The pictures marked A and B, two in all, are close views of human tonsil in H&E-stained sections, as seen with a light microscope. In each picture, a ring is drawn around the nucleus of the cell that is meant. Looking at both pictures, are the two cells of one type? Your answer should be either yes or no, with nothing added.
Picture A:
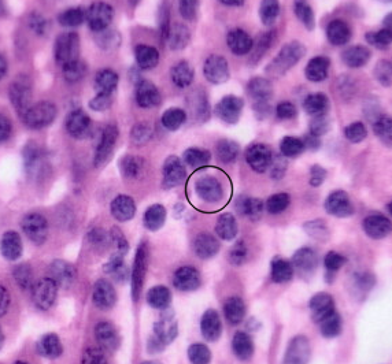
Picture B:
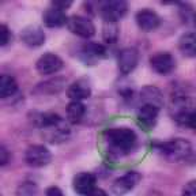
no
